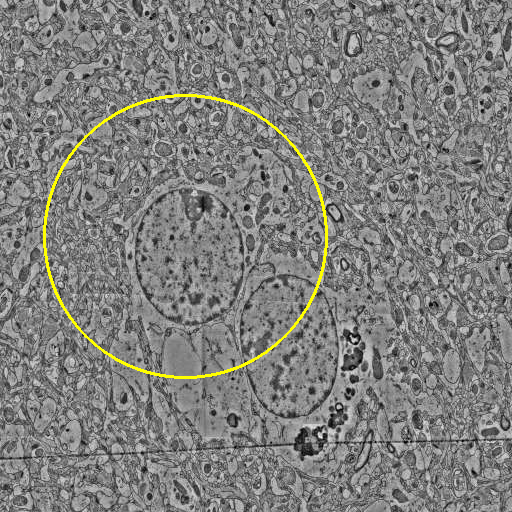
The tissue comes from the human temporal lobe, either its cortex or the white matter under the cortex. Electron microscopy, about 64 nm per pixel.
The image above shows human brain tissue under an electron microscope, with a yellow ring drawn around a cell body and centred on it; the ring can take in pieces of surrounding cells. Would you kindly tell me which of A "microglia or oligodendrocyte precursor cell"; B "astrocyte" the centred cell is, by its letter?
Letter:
B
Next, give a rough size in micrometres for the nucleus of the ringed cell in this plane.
About 9 by 7 micrometres in this plane.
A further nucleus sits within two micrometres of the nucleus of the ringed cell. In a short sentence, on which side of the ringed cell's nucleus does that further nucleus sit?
The other one is to the lower right of it.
